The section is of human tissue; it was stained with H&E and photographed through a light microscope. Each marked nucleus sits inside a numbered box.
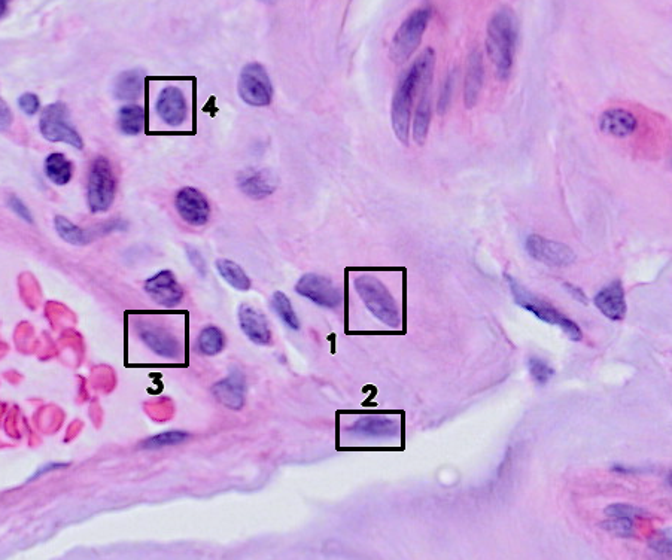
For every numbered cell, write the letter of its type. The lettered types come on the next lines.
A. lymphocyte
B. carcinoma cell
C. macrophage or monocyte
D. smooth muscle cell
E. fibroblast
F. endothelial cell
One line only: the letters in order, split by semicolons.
E; E; F; A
